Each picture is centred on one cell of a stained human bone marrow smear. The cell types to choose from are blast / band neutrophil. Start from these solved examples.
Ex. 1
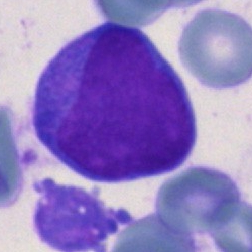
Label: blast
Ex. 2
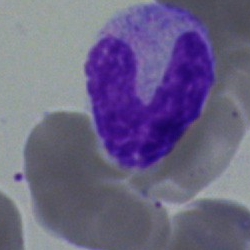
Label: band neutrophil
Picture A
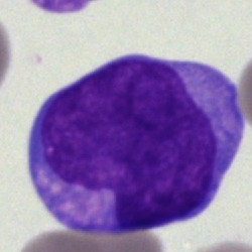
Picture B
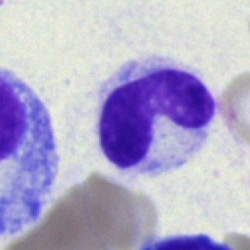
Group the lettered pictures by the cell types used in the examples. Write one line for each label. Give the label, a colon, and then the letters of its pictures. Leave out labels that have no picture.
blast: A
band neutrophil: B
